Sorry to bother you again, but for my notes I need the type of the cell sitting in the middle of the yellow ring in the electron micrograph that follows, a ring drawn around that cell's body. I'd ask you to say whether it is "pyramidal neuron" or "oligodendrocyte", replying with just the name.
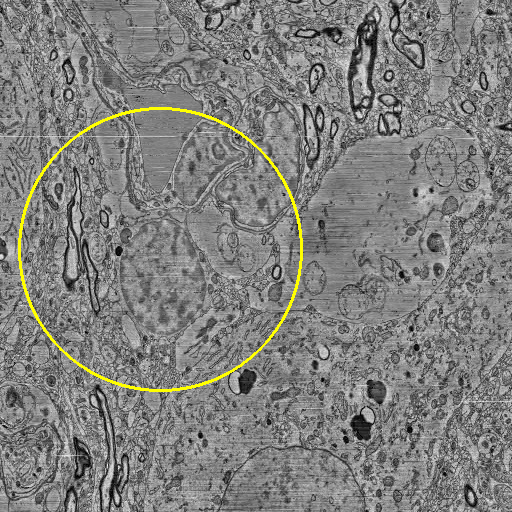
oligodendrocyte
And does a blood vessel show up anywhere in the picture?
Yes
